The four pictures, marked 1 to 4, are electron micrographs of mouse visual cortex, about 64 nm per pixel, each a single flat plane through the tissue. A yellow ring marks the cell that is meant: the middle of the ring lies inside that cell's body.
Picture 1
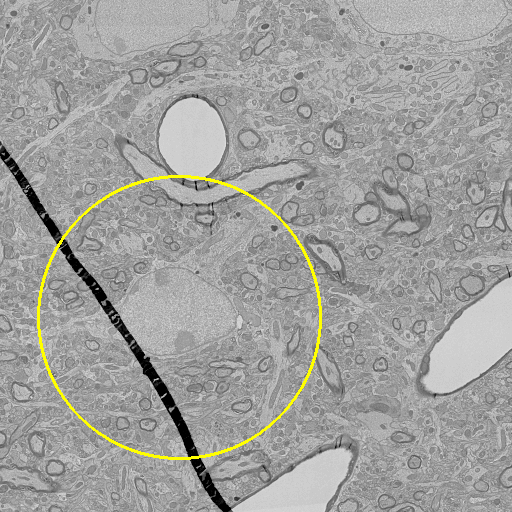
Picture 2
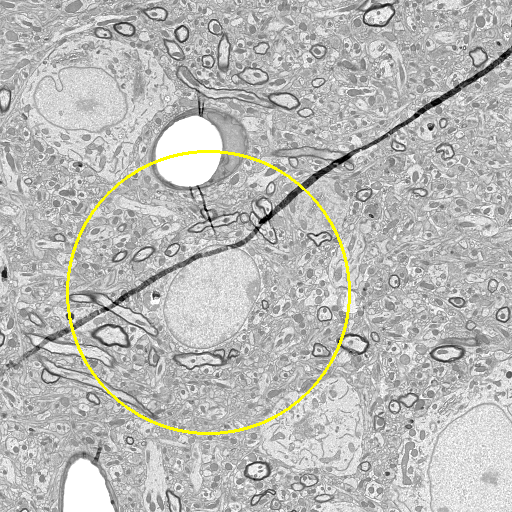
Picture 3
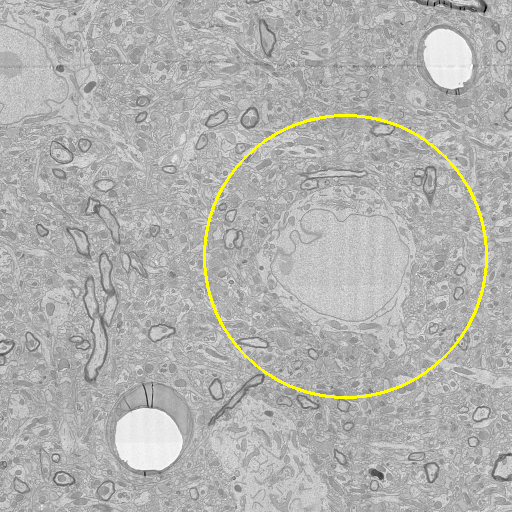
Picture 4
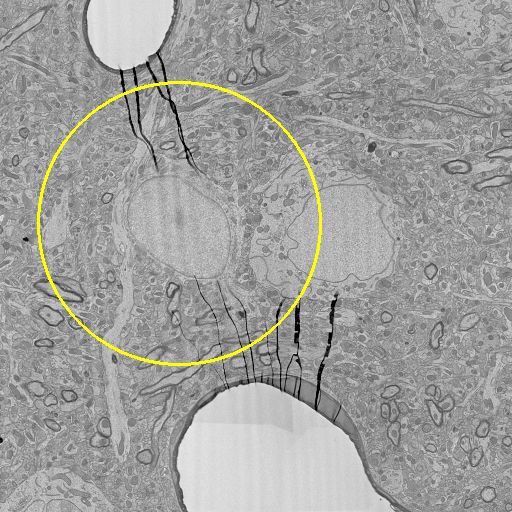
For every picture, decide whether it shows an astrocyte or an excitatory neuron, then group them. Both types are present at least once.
Pictures 1, 2 and 4 show astrocytes, while picture 3 shows an excitatory neuron.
